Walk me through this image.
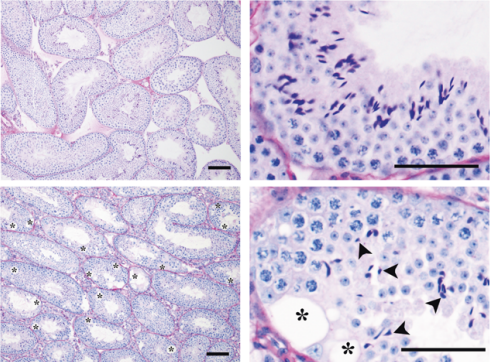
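Cross-sections of seminiferous tubules packed side by side, each lined by several layers of germ cells with round, blue-stained nuclei around a central lumen. In the upper images, slender dark elongated heads cluster toward the lumen. In the lower images, the epithelium contains round empty vacuoles, and scattered dark nuclei near the lumen are irregular and misshapen.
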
